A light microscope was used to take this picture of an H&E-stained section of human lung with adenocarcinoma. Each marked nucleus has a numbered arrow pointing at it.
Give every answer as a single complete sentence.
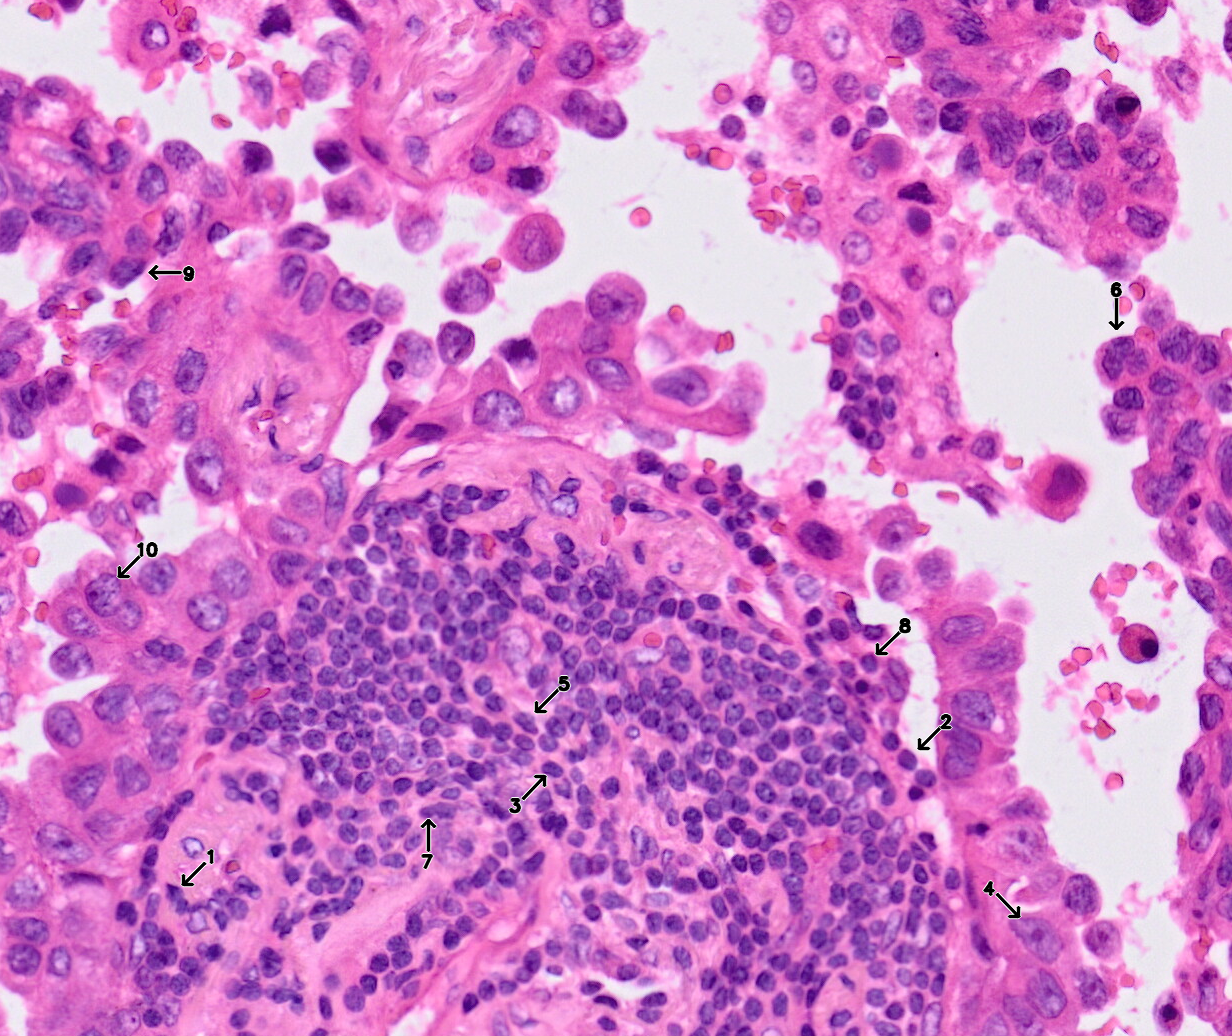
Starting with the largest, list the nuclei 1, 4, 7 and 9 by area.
The nuclei rank 4, 9, 1, 7, from largest to smallest.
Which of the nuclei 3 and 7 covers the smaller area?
Nucleus 7 is the smaller one; nucleus 3 covers about 1.5 times its area.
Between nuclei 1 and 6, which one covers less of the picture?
Number 1 is smaller, since number 6 takes up about 4 times as much area.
